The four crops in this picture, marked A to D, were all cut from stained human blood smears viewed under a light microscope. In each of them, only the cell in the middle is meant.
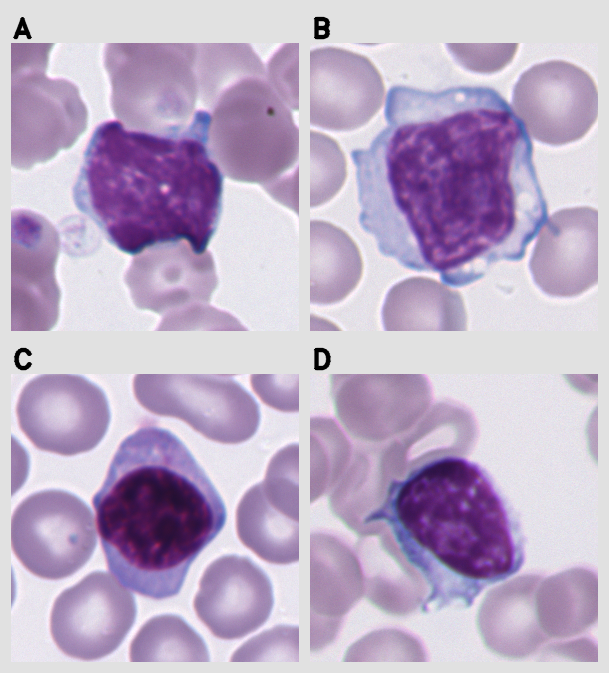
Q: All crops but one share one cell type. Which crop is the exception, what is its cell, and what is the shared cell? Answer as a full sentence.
Apart from crop B, which shows a myeloblast, every crop shows typical lymphocytes.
